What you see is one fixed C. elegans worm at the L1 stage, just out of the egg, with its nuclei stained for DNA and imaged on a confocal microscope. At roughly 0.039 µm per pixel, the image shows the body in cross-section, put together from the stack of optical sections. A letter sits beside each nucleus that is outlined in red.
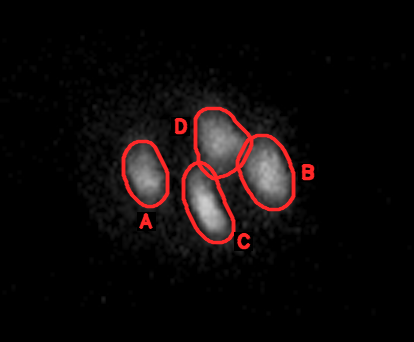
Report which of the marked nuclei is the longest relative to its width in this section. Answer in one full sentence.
Of the marked nuclei, C is the most stretched out.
